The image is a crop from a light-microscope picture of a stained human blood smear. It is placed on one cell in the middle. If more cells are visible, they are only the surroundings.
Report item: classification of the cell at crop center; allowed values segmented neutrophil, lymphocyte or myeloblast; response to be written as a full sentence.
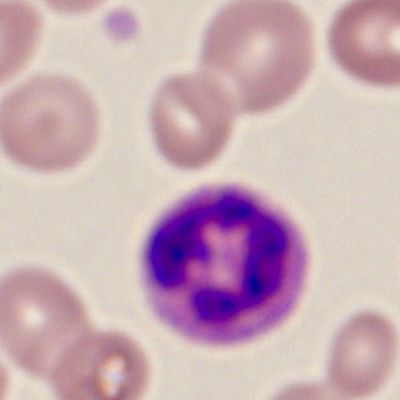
The centrally positioned cell in the crop represents a segmented neutrophil.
